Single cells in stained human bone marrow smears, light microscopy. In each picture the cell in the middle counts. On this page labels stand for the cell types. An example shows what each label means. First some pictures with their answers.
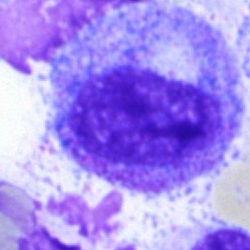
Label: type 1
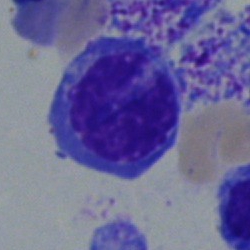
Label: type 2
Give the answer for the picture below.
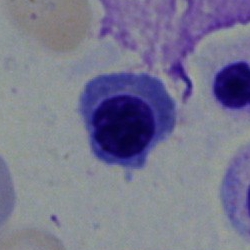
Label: type 2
